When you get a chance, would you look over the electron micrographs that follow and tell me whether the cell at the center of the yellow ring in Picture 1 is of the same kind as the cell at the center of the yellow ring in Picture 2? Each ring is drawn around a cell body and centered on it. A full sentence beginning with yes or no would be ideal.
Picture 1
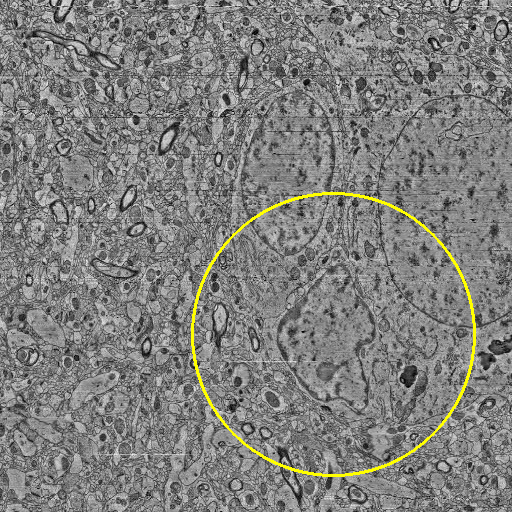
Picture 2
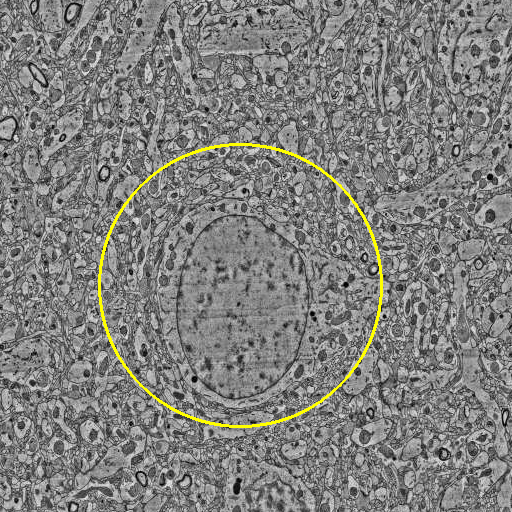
No, they are two kinds of cell.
